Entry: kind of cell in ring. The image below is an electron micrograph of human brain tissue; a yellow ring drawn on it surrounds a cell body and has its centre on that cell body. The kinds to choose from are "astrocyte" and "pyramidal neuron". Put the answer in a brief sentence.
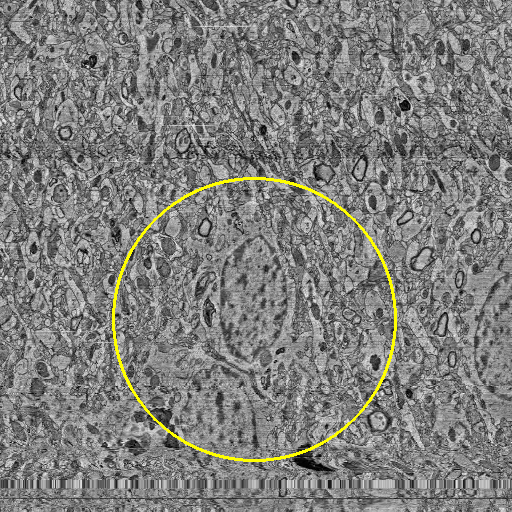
The ring has been drawn around an astrocyte.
